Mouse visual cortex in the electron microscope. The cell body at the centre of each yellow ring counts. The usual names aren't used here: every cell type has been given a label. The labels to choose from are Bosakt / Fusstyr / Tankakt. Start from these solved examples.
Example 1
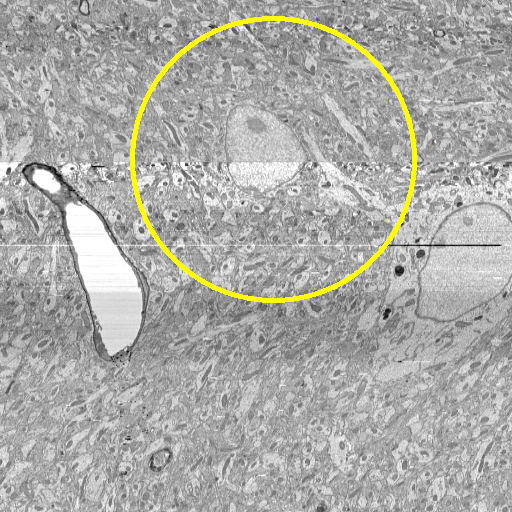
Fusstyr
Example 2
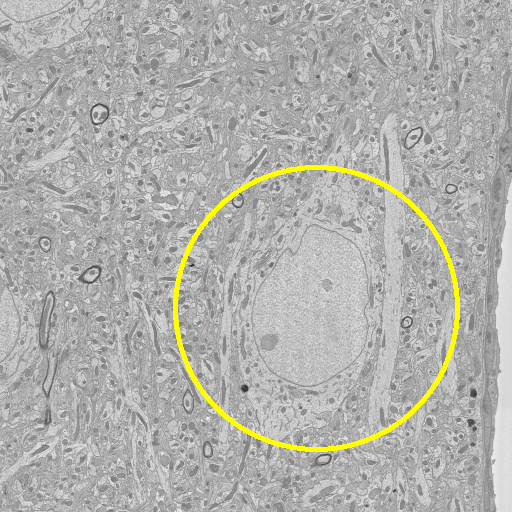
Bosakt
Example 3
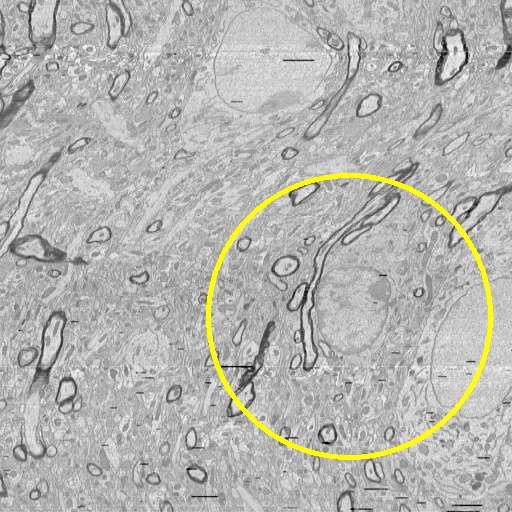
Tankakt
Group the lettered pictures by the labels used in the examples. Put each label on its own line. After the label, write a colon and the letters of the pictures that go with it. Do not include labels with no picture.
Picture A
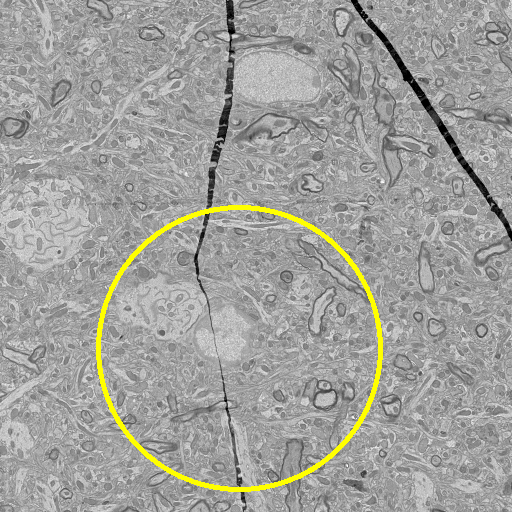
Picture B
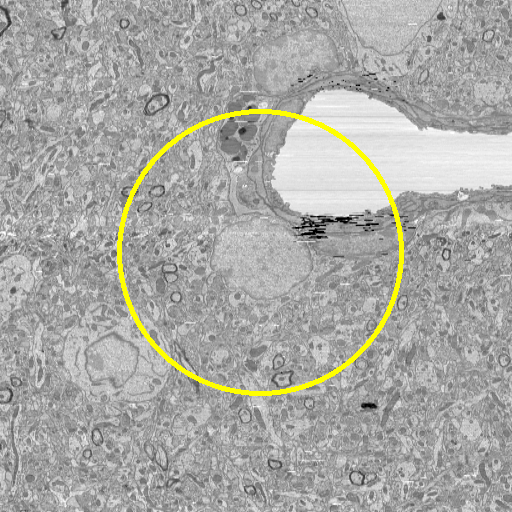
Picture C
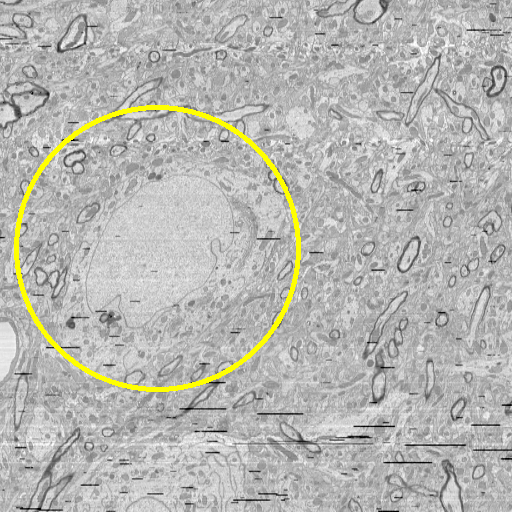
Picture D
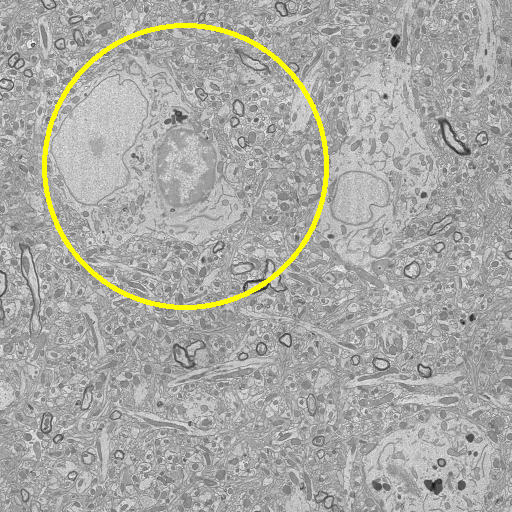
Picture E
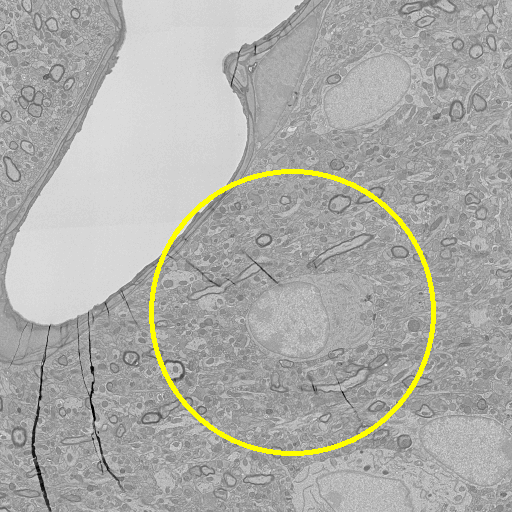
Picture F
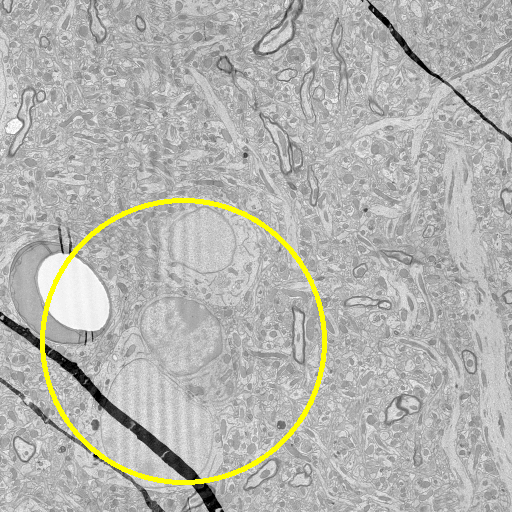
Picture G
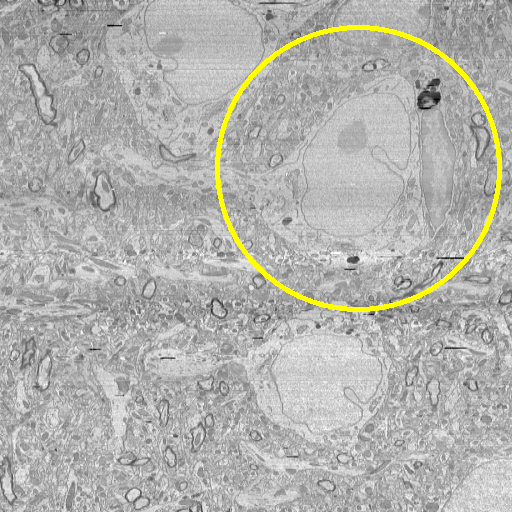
Bosakt: C, G
Fusstyr: B
Tankakt: A, D, E, F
